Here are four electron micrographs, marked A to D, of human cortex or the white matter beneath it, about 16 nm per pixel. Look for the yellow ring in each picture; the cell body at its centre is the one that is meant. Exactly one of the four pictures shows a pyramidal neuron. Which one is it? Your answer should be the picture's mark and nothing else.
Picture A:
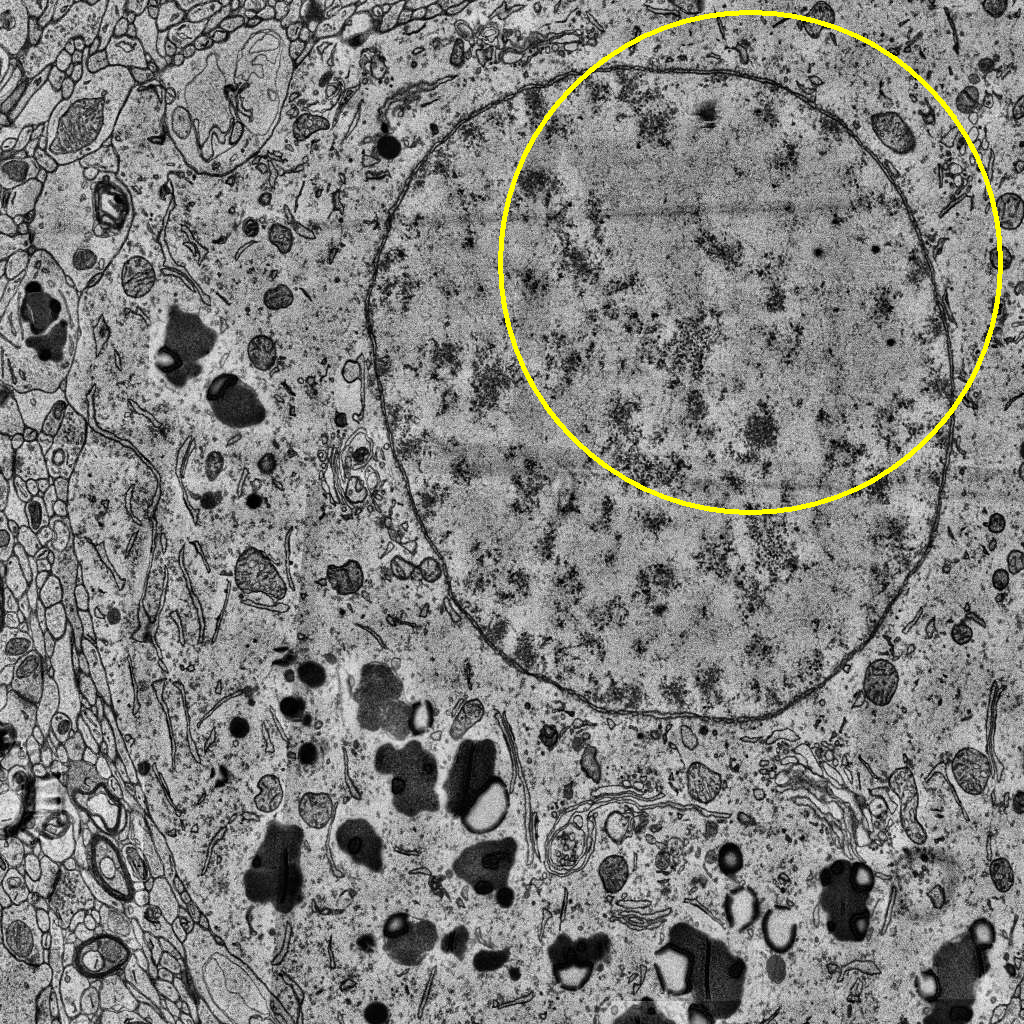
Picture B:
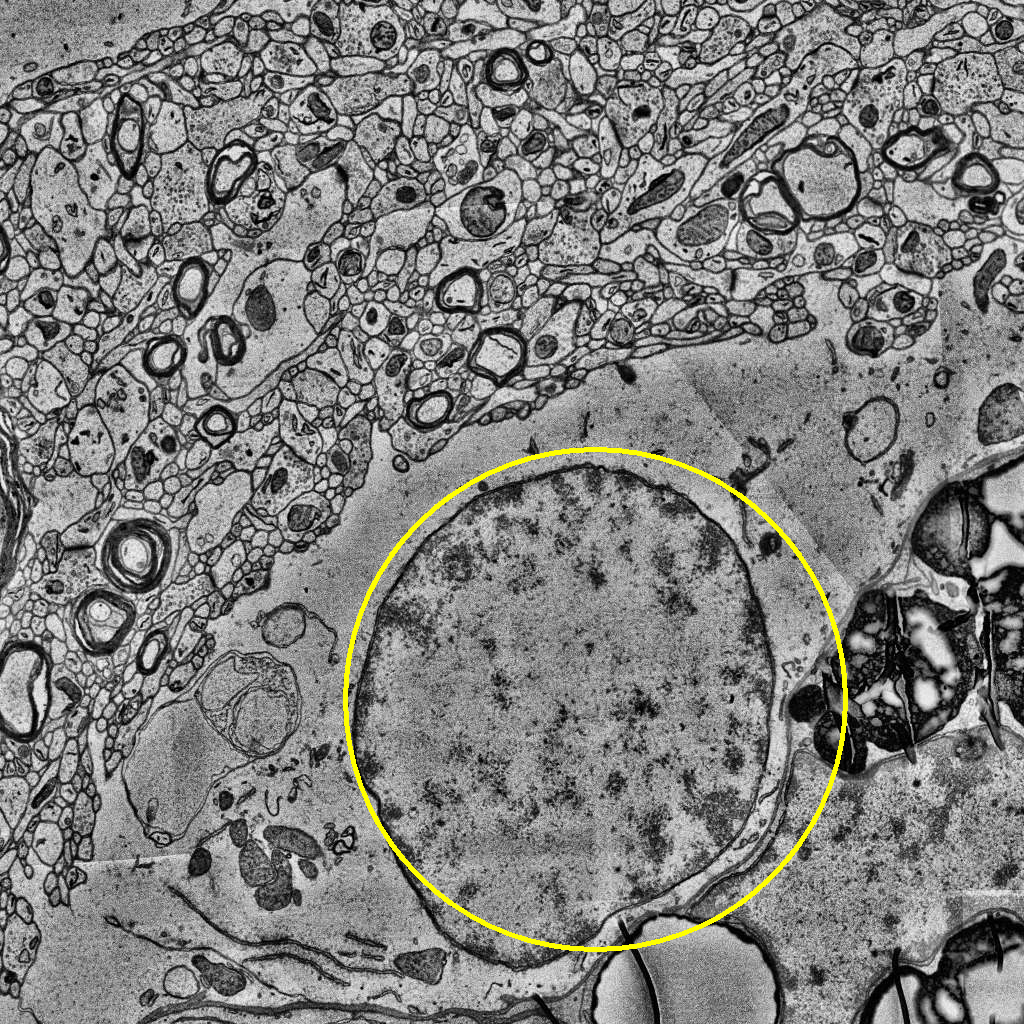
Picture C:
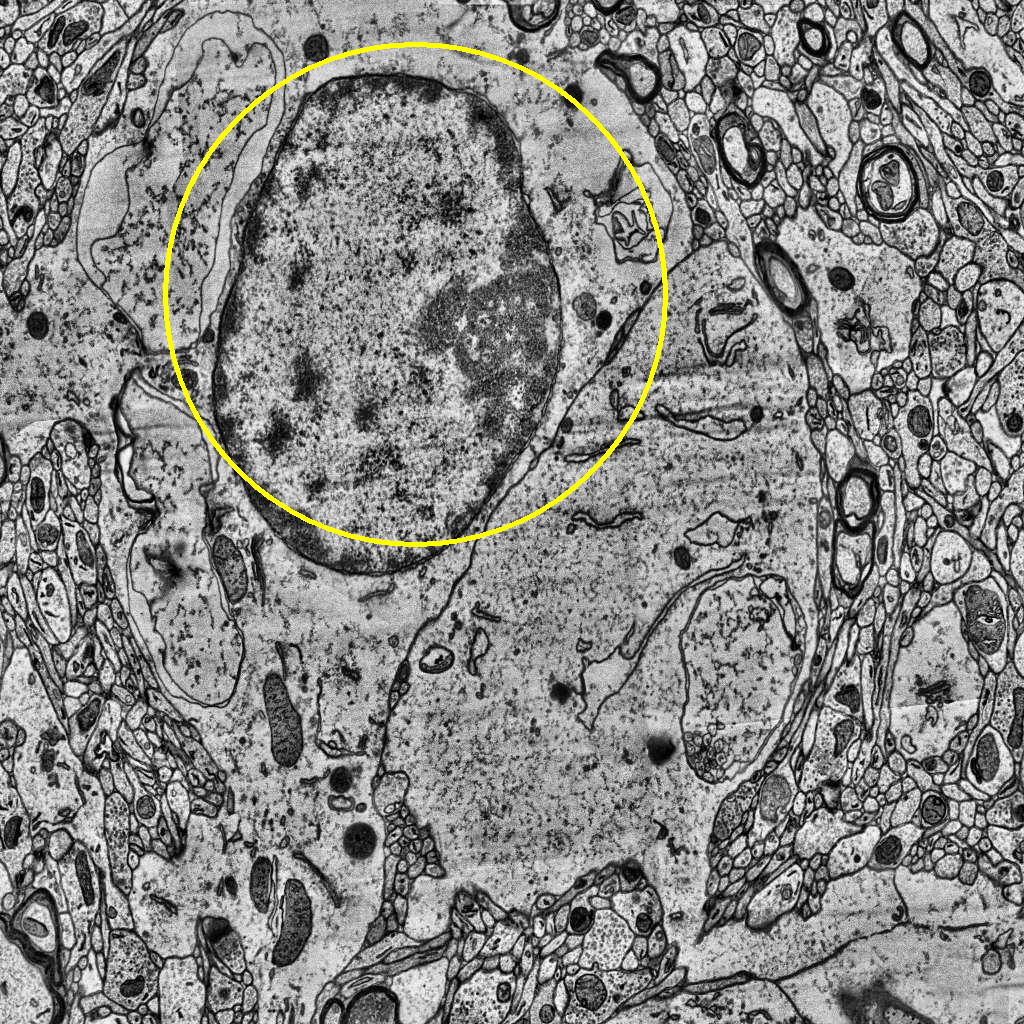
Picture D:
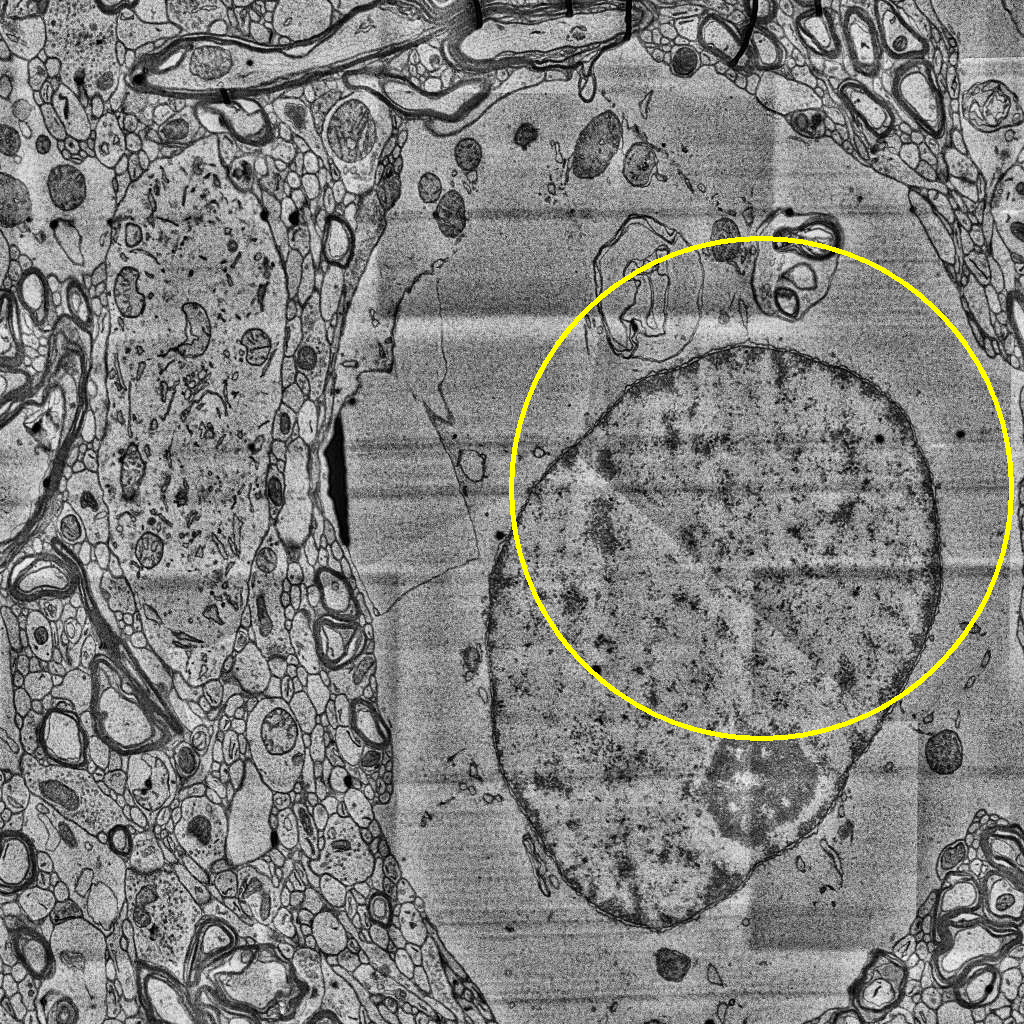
A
